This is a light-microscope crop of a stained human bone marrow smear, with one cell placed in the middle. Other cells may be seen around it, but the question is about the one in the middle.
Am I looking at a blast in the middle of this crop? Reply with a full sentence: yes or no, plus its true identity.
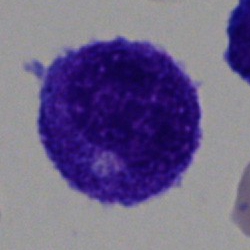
No, mark the middle cell as a promyelocyte, not a blast.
